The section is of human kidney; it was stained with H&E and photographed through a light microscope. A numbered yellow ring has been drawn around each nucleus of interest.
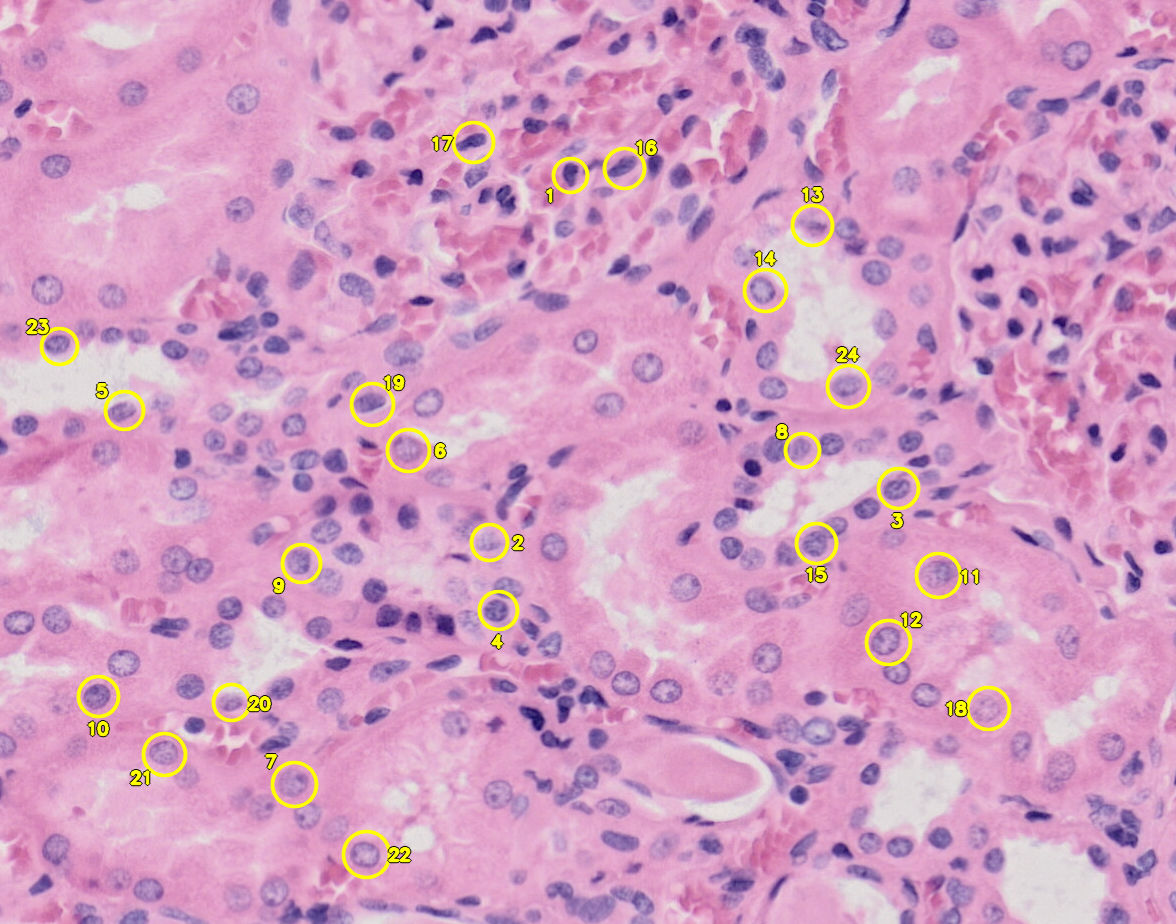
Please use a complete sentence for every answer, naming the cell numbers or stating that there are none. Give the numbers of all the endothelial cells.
The cells assigned the numbers 1, 16, 17 and 19 are endothelial cells.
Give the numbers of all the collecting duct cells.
The cells tagged 2, 3, 4, 8, 9 and 15 are collecting duct cells in this tissue section.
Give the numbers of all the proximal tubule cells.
The numbers 6, 7, 10, 11, 12, 18, 21 and 22 mark cells that are proximal tubule cells.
